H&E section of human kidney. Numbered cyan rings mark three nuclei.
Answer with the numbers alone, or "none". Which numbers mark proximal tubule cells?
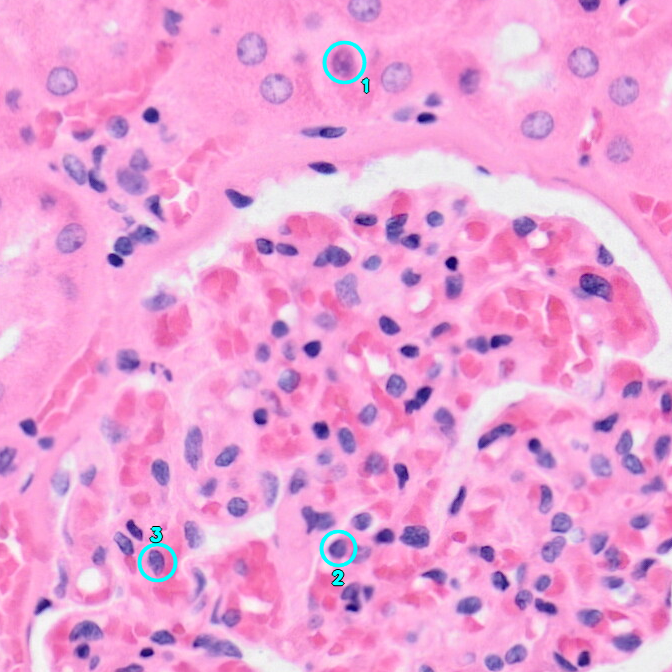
1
